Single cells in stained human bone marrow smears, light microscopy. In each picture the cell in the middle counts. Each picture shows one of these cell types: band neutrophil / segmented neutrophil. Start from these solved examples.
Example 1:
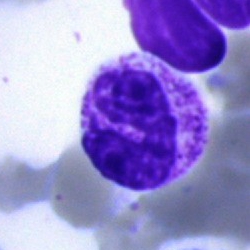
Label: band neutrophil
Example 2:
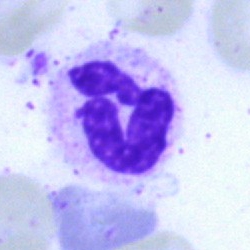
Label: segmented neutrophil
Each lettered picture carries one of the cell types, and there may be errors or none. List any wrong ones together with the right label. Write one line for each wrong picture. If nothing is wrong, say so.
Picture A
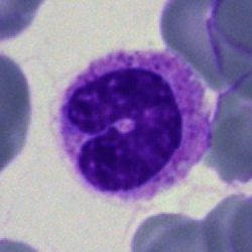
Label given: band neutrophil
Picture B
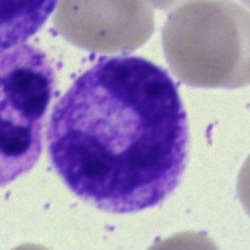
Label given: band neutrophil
Every label is right.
